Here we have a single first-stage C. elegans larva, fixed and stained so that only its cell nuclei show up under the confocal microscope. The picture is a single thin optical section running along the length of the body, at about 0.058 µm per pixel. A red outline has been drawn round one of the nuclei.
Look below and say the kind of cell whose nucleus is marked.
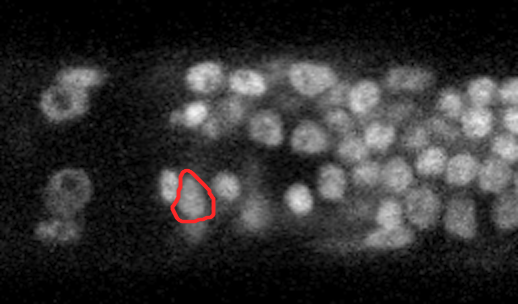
valve cell of the gut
